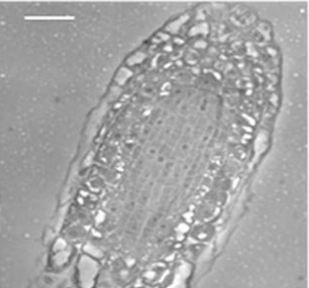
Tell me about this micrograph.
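This is a lengthwise section through a plant root tip, showing the meristem with its small, densely packed cells lined up in longitudinal files. Toward the rounded apex and along the outer flanks the cells are larger and paler, while the inner files consist of small box-shaped cells, many with a dark dot in their centre.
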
